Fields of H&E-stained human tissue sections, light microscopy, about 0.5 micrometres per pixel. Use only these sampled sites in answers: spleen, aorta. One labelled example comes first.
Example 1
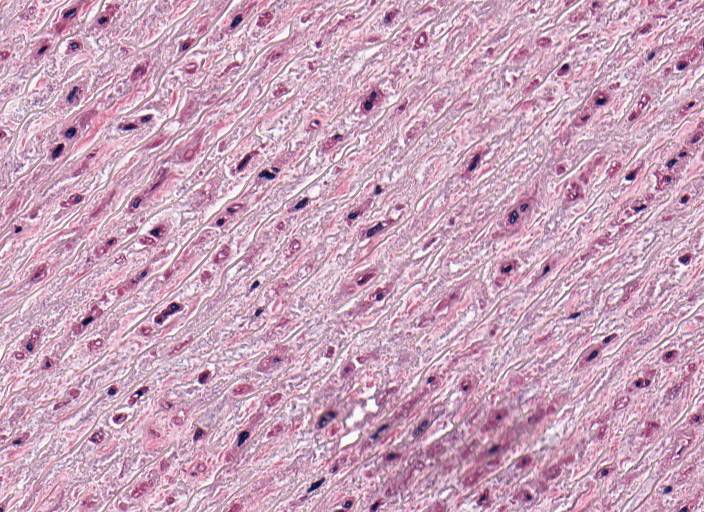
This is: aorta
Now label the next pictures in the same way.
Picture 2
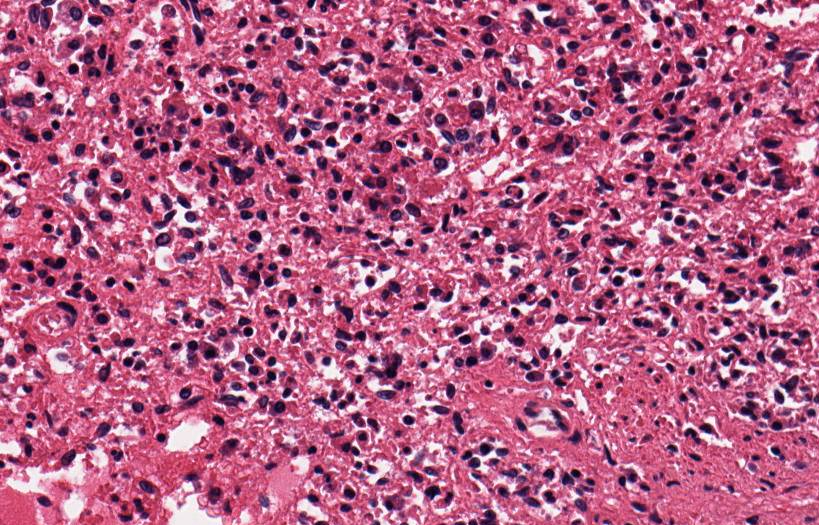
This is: spleen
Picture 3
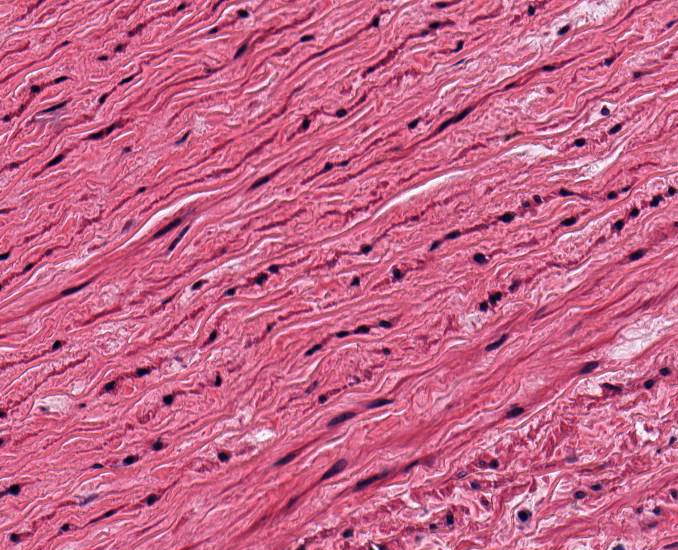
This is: aorta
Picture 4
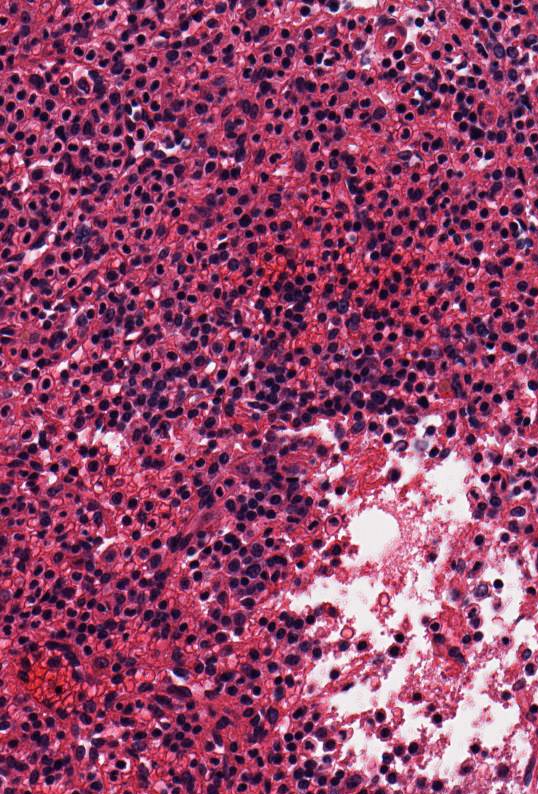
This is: spleen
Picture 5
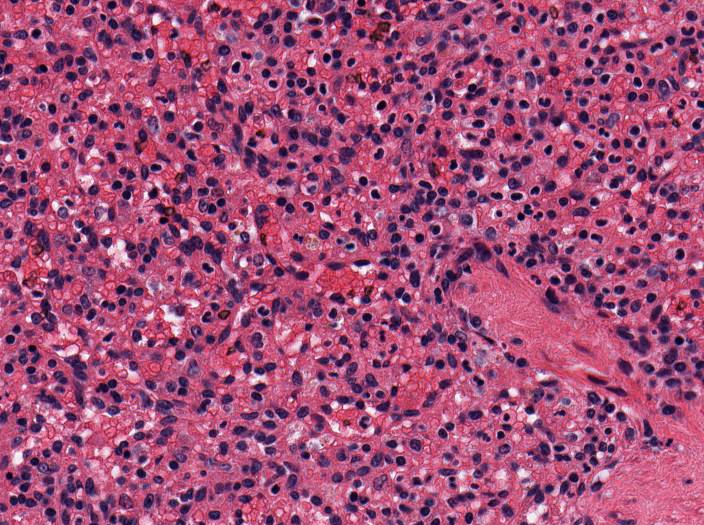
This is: spleen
